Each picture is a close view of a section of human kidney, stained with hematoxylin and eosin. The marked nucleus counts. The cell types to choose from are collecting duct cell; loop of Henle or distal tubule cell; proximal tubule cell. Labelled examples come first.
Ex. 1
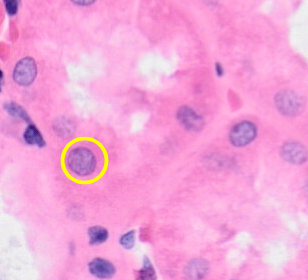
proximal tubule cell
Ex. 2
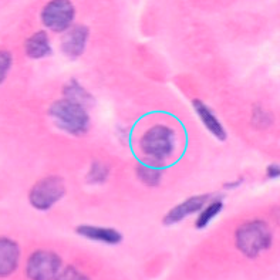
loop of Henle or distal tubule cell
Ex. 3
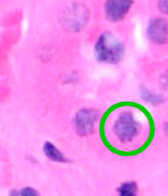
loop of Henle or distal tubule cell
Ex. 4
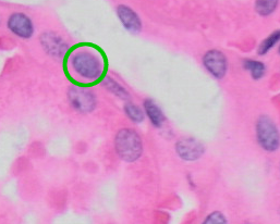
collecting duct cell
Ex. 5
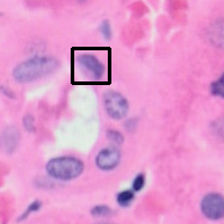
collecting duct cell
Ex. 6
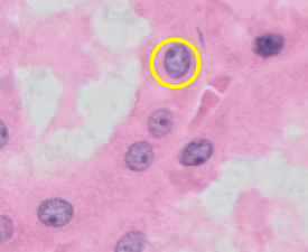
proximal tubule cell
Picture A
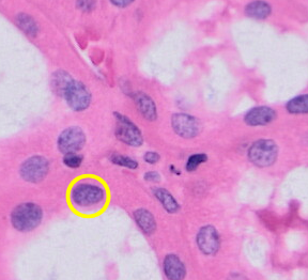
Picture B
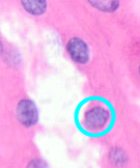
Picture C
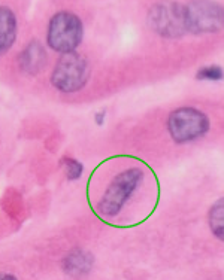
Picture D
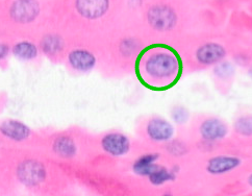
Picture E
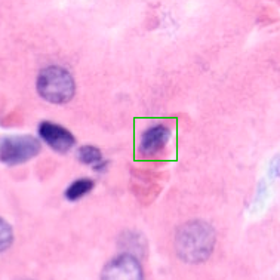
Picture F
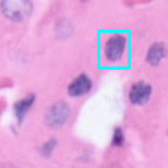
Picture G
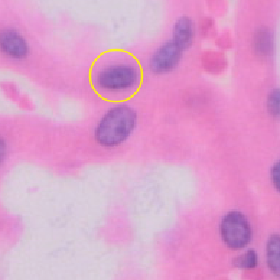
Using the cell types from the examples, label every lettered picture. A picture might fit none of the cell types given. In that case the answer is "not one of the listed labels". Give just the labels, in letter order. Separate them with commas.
loop of Henle or distal tubule cell, loop of Henle or distal tubule cell, proximal tubule cell, loop of Henle or distal tubule cell, not one of the listed labels, loop of Henle or distal tubule cell, collecting duct cell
